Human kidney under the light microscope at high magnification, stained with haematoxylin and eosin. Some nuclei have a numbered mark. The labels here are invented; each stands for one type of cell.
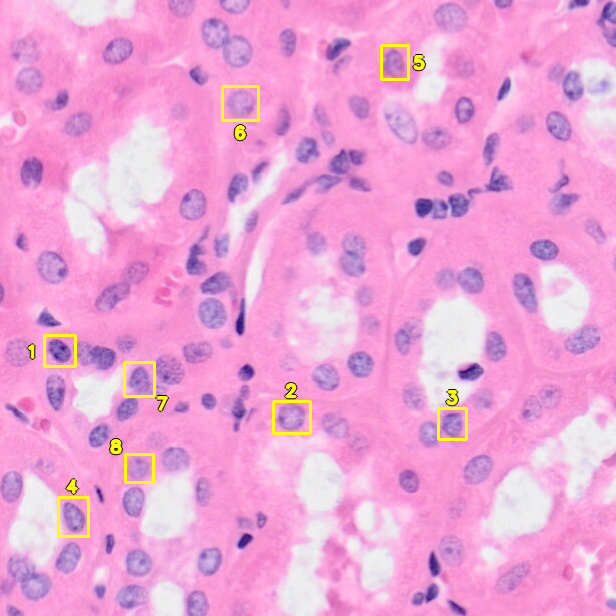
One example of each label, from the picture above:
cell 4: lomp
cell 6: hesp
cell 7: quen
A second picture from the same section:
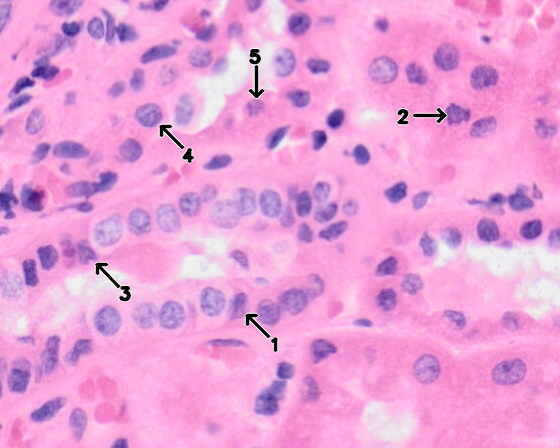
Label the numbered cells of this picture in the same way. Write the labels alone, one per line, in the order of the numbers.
quen
hesp
quen
lomp
lomp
